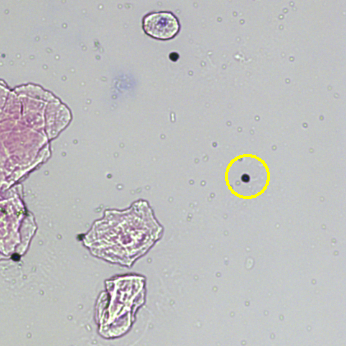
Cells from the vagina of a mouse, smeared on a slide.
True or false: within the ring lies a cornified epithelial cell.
False: a leukocyte lies within the ring.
